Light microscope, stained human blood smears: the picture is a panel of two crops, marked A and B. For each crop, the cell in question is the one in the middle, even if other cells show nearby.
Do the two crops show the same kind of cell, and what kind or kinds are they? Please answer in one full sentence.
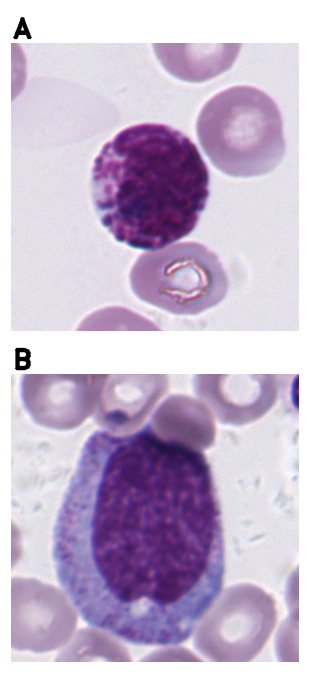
No, crop A offers a basophil, while crop B offers a promyelocyte.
